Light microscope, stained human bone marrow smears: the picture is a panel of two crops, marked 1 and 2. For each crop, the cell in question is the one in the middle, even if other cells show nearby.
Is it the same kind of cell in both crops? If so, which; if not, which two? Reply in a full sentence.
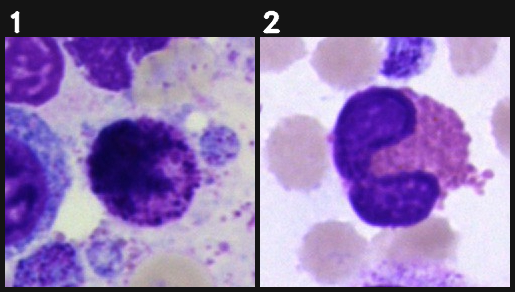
No, crop 1 shows a basophil, whereas in crop 2 the cell is an eosinophil.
